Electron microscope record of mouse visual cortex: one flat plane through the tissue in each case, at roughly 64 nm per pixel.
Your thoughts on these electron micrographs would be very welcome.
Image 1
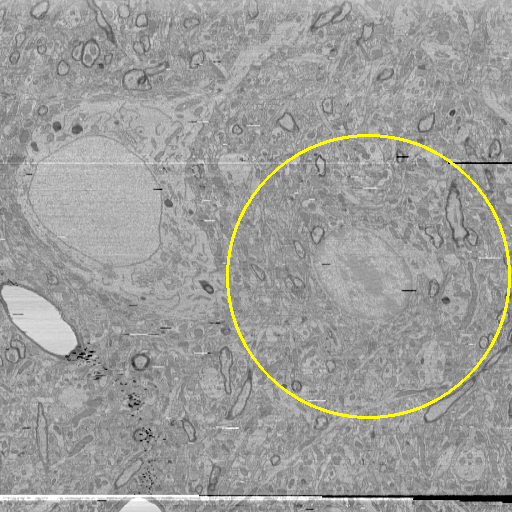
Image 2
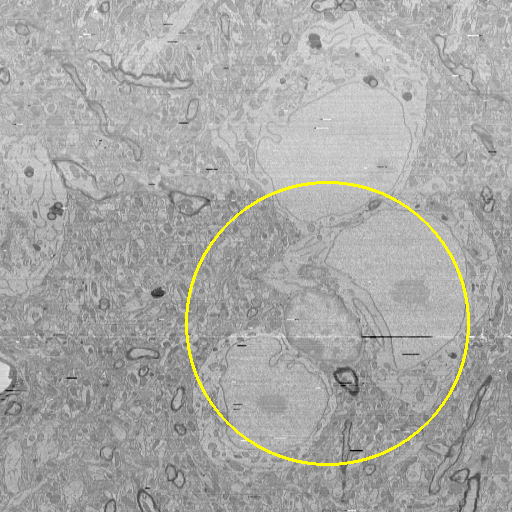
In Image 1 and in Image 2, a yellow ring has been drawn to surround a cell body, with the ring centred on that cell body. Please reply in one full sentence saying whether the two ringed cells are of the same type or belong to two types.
The ringed cells in Image 1 and Image 2 are of the same type.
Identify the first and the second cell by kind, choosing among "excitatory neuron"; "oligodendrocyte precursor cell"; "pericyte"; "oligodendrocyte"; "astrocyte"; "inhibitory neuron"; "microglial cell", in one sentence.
Each of the two rings is centred on an oligodendrocyte.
